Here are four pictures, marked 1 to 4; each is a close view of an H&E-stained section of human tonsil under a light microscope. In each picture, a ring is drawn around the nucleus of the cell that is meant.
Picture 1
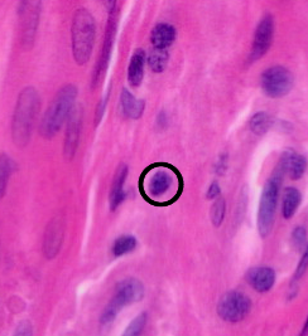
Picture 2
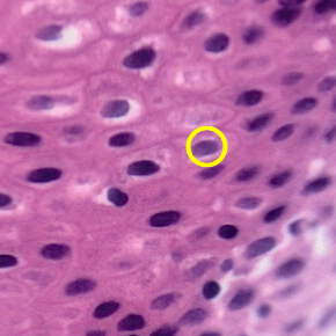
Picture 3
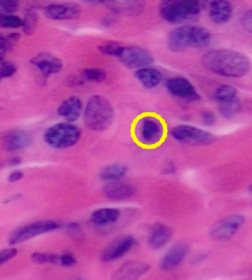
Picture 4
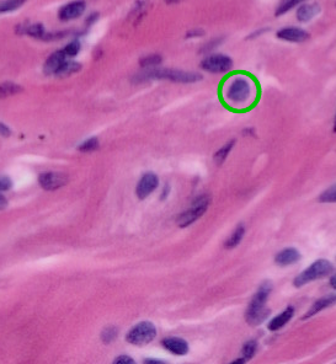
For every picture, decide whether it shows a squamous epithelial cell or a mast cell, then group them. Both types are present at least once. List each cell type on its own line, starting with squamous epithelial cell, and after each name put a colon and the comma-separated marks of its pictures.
squamous epithelial cell: 2
mast cell: 1, 3, 4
